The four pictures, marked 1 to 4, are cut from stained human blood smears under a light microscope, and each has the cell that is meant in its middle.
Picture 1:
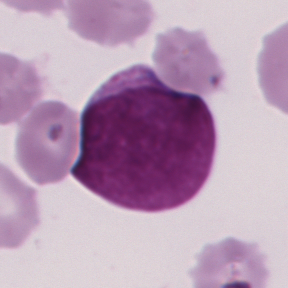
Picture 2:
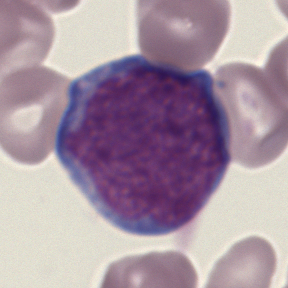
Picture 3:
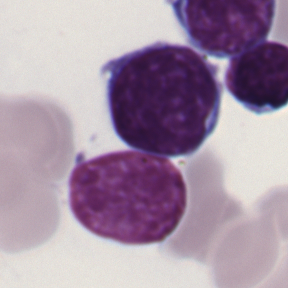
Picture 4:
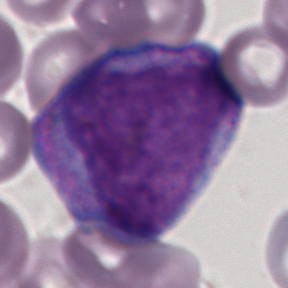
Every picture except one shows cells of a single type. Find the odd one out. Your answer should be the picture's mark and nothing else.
4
